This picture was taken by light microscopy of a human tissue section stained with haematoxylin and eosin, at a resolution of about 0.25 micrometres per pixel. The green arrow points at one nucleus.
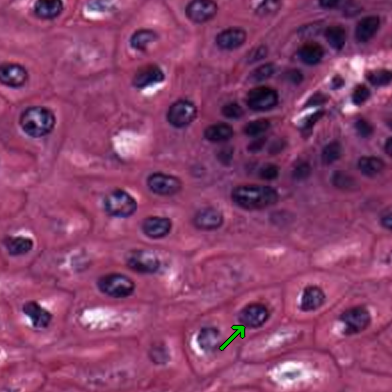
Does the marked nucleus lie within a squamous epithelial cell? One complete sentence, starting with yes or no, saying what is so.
Yes, in the picture the marked nucleus belongs to a squamous epithelial cell.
